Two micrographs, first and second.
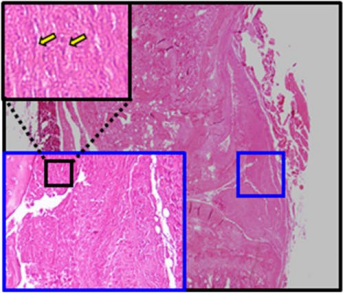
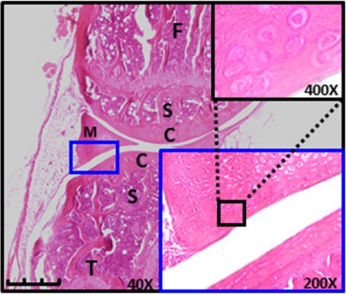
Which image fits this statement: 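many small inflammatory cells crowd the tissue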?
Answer: The first image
